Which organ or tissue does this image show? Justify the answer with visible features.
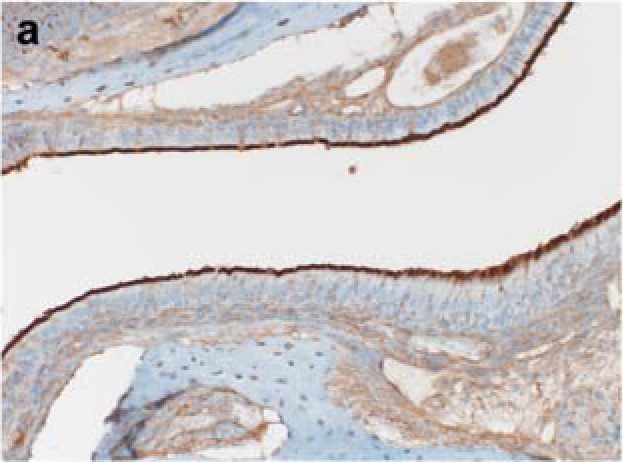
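Epithelium rests on loose connective tissue over pale blue cartilage or bone. A continuous brown line runs along the luminal surface of the epithelium. That points to this answer: nasal mucosa.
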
